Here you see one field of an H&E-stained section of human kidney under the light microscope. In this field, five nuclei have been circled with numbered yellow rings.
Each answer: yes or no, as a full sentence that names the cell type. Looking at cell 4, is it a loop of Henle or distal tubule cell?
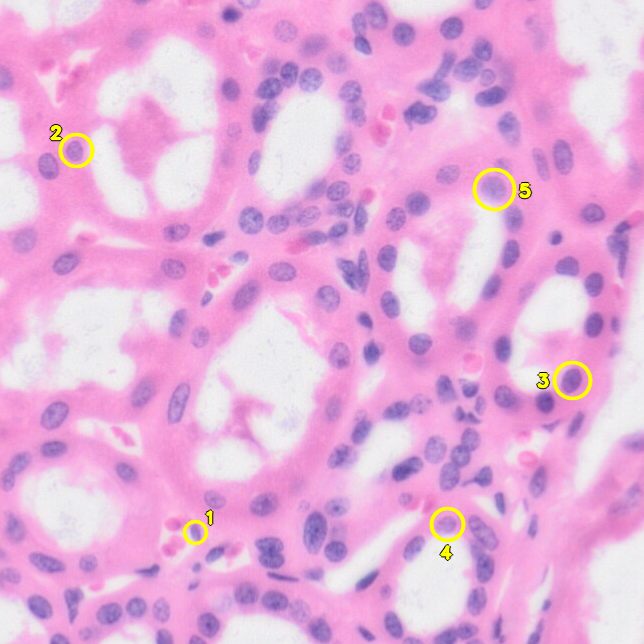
No, not a loop of Henle or distal tubule cell: the cell with number 4 is a collecting duct cell.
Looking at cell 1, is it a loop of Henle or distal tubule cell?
No, the cell labelled 1 is an endothelial cell and not a loop of Henle or distal tubule cell.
